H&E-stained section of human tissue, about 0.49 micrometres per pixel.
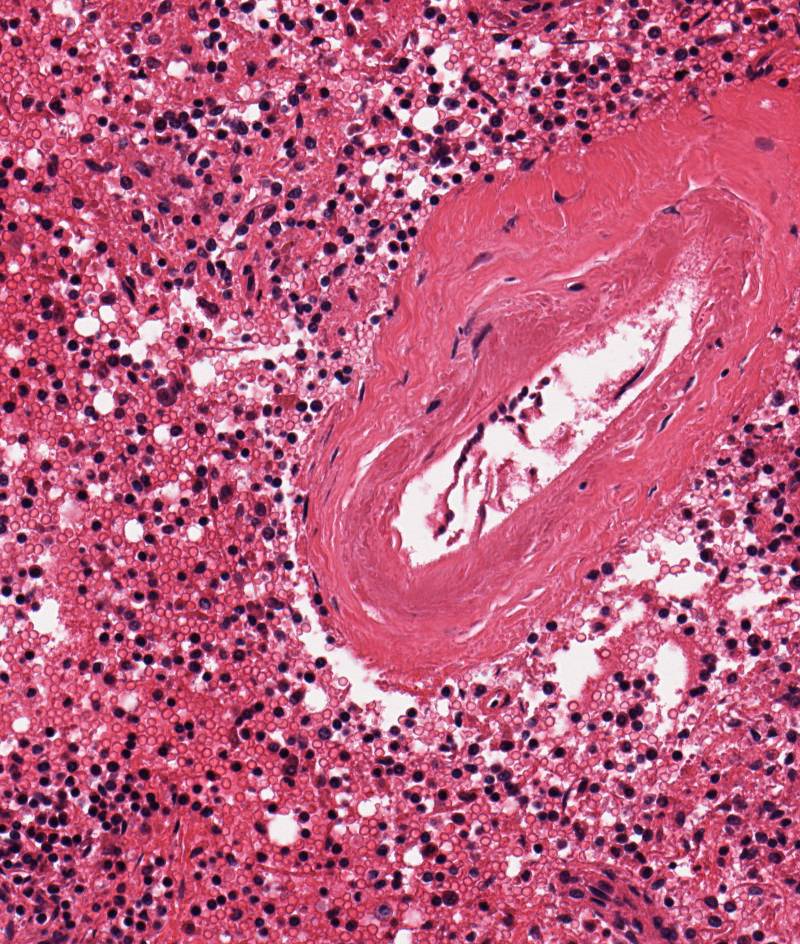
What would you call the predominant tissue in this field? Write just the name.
red pulp of the spleen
